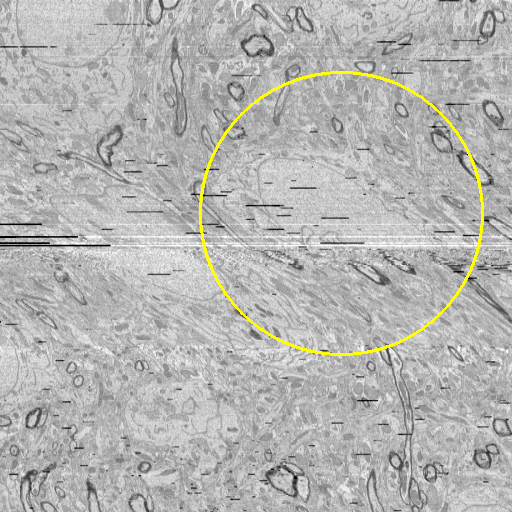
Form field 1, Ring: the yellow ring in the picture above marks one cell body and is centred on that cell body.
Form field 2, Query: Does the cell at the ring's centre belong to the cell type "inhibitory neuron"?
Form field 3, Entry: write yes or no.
yes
